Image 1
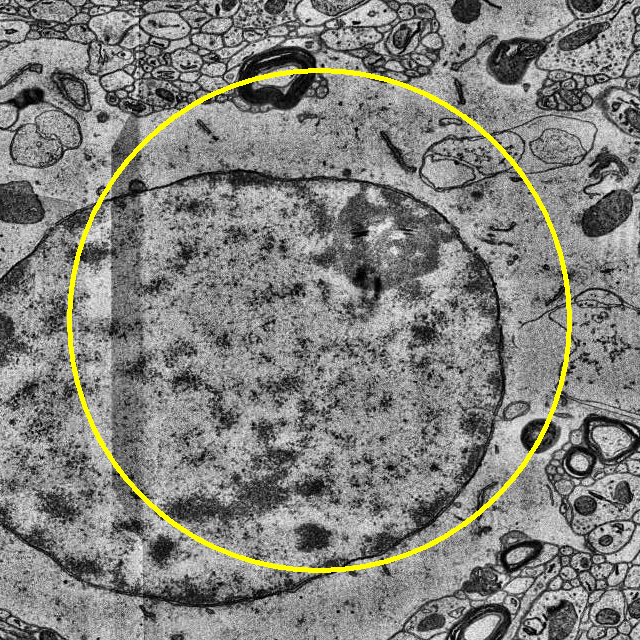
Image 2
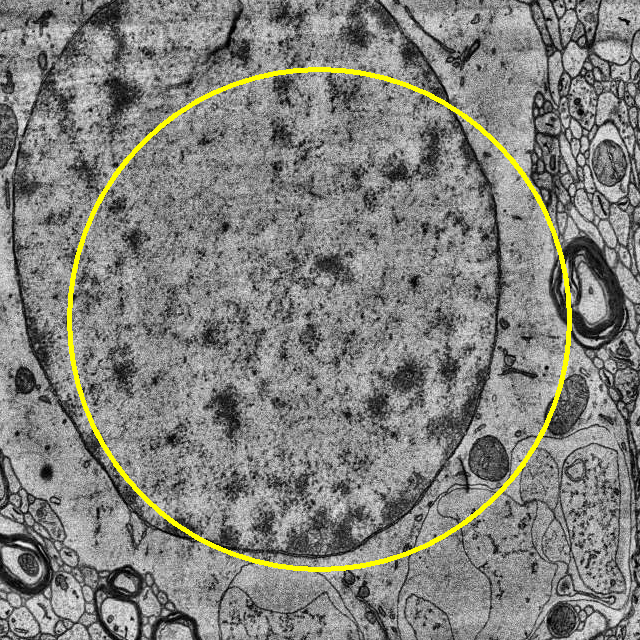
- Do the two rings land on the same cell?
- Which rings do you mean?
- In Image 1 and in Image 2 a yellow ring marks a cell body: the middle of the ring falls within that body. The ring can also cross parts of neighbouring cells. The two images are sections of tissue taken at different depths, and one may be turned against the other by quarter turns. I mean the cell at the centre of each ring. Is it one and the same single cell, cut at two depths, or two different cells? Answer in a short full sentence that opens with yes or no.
Yes, one cell is ringed in yellow twice over.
